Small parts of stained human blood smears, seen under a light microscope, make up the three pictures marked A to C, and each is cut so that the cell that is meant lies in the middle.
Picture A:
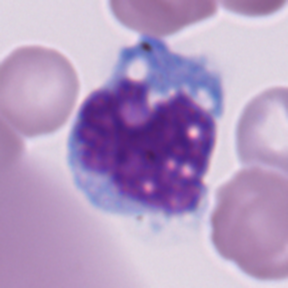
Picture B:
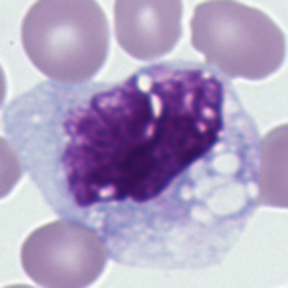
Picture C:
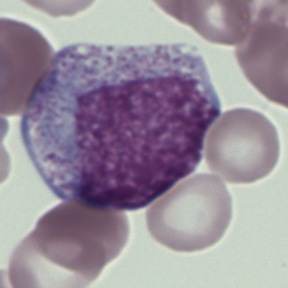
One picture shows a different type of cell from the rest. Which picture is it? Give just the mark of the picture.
C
